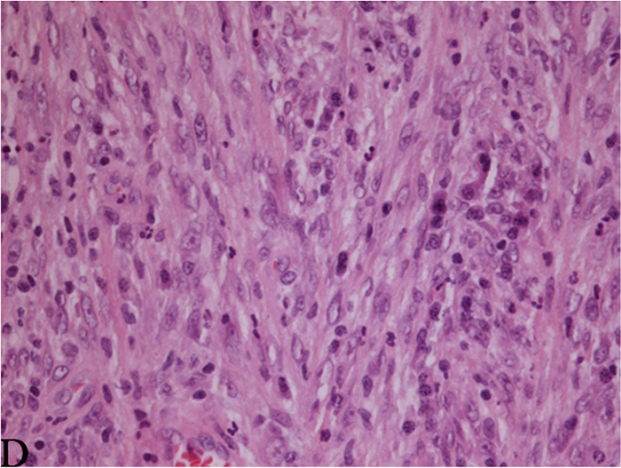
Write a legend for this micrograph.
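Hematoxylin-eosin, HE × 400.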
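Spindle cells packed in streaming bundles. The nuclei are elongated to oval with fine chromatin, and many show one or more small nucleoli. The cytoplasm is pale pink and drawn out into long strands between the nuclei. A few smaller darker rounded nuclei are scattered among the spindle cells.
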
